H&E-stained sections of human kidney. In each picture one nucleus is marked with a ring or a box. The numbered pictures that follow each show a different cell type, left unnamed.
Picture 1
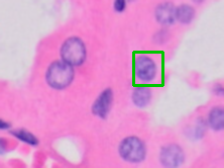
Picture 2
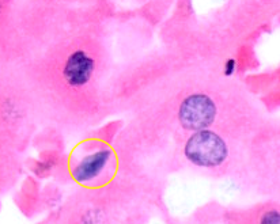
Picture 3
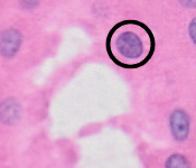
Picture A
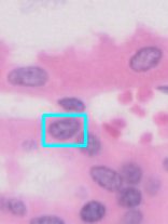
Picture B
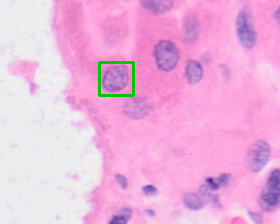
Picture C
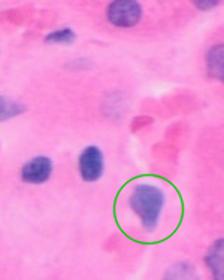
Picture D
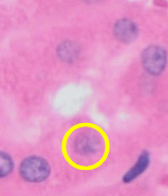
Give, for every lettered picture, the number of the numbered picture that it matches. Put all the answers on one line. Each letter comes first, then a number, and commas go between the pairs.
A 1, B 3, C 2, D 3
